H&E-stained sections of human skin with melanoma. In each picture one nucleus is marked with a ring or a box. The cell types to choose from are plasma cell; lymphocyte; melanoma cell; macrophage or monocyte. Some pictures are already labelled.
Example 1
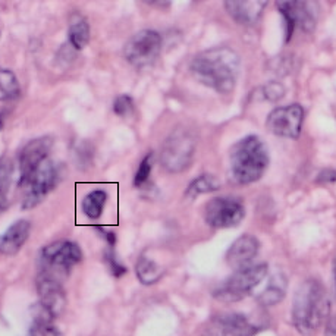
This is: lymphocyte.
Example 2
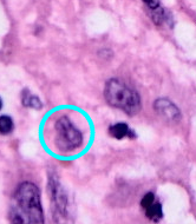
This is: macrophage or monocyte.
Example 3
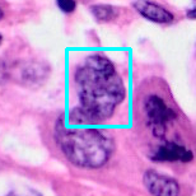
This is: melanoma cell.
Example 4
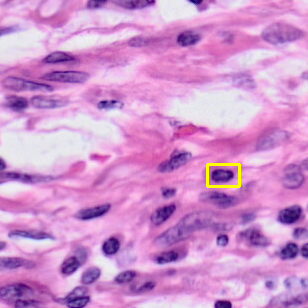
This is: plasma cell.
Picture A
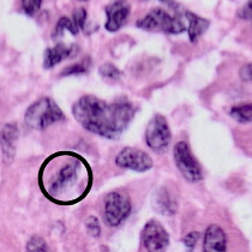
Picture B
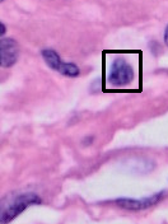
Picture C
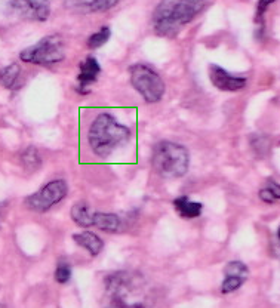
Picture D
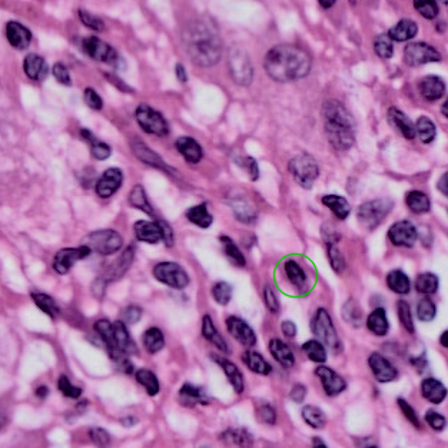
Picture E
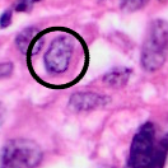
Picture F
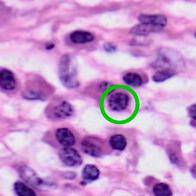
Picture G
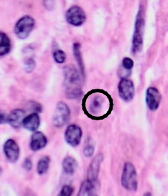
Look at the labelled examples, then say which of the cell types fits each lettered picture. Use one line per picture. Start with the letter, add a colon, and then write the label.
A: melanoma cell.
B: lymphocyte.
C: melanoma cell.
D: plasma cell.
E: melanoma cell.
F: plasma cell.
G: lymphocyte.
